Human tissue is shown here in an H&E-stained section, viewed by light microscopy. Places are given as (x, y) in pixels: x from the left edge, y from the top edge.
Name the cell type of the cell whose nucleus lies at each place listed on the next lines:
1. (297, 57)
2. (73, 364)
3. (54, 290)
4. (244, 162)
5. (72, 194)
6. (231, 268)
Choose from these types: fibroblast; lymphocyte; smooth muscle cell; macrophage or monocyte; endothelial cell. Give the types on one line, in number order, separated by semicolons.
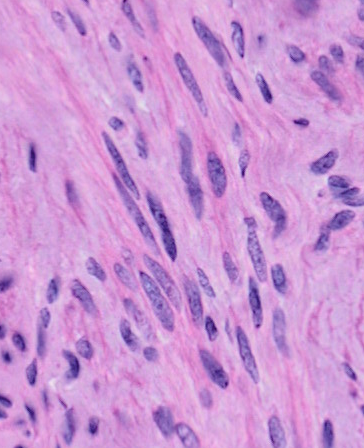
smooth muscle cell; fibroblast; fibroblast; smooth muscle cell; smooth muscle cell; smooth muscle cell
